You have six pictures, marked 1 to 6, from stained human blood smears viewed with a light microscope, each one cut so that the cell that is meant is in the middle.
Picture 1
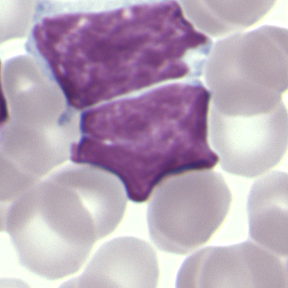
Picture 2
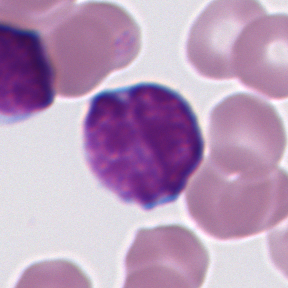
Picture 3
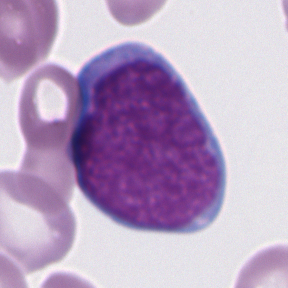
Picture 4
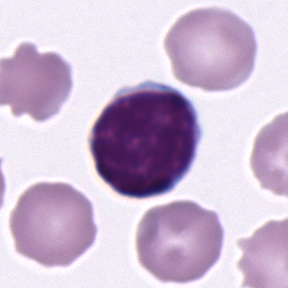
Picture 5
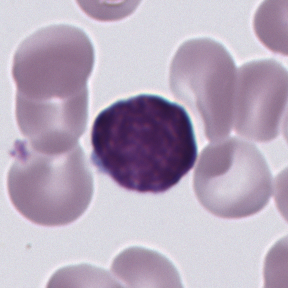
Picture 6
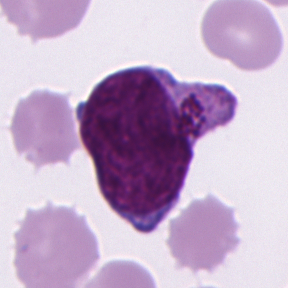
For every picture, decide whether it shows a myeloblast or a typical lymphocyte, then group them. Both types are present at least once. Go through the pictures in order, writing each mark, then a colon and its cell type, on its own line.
1: typical lymphocyte
2: typical lymphocyte
3: myeloblast
4: typical lymphocyte
5: typical lymphocyte
6: myeloblast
